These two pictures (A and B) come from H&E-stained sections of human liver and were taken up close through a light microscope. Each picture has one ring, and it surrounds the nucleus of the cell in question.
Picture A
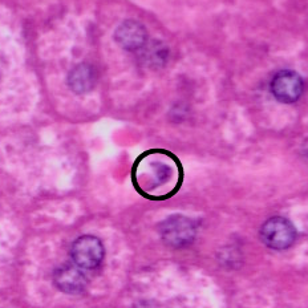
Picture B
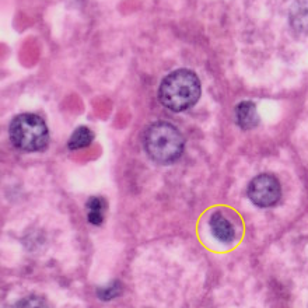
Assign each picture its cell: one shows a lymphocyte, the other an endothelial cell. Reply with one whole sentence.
Picture A is of an endothelial cell, and picture B is of a lymphocyte.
